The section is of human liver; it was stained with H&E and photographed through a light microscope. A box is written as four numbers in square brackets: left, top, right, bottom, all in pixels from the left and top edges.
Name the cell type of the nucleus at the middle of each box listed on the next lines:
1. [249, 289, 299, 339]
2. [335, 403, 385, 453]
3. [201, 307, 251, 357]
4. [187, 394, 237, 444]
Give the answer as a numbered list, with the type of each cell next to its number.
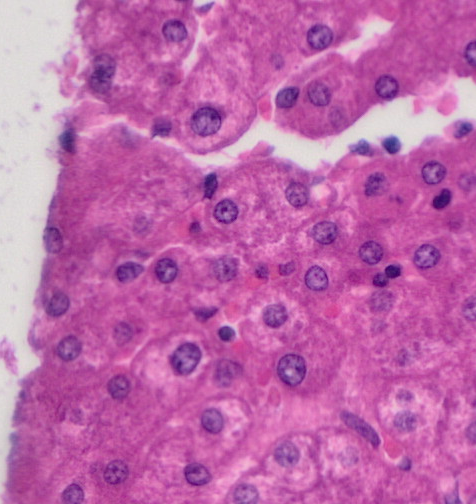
1. hepatocyte
2. Kupffer cell
3. lymphocyte
4. hepatocyte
